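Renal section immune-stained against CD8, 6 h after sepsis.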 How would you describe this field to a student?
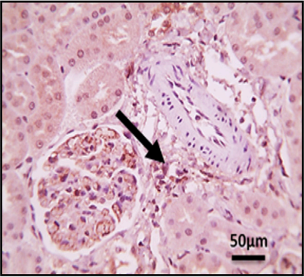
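This kidney section shows a glomerulus beside a muscular blood vessel, with a few brown-stained cells in the loose tissue around the vessel. The glomerulus at the left is a rounded tuft of capillaries with many nuclei, surrounded by a clear space and a thin capsule. The vessel wall is made of layers of elongated spindle-shaped nuclei, and the loose tissue around it holds small dark cells with brown staining.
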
